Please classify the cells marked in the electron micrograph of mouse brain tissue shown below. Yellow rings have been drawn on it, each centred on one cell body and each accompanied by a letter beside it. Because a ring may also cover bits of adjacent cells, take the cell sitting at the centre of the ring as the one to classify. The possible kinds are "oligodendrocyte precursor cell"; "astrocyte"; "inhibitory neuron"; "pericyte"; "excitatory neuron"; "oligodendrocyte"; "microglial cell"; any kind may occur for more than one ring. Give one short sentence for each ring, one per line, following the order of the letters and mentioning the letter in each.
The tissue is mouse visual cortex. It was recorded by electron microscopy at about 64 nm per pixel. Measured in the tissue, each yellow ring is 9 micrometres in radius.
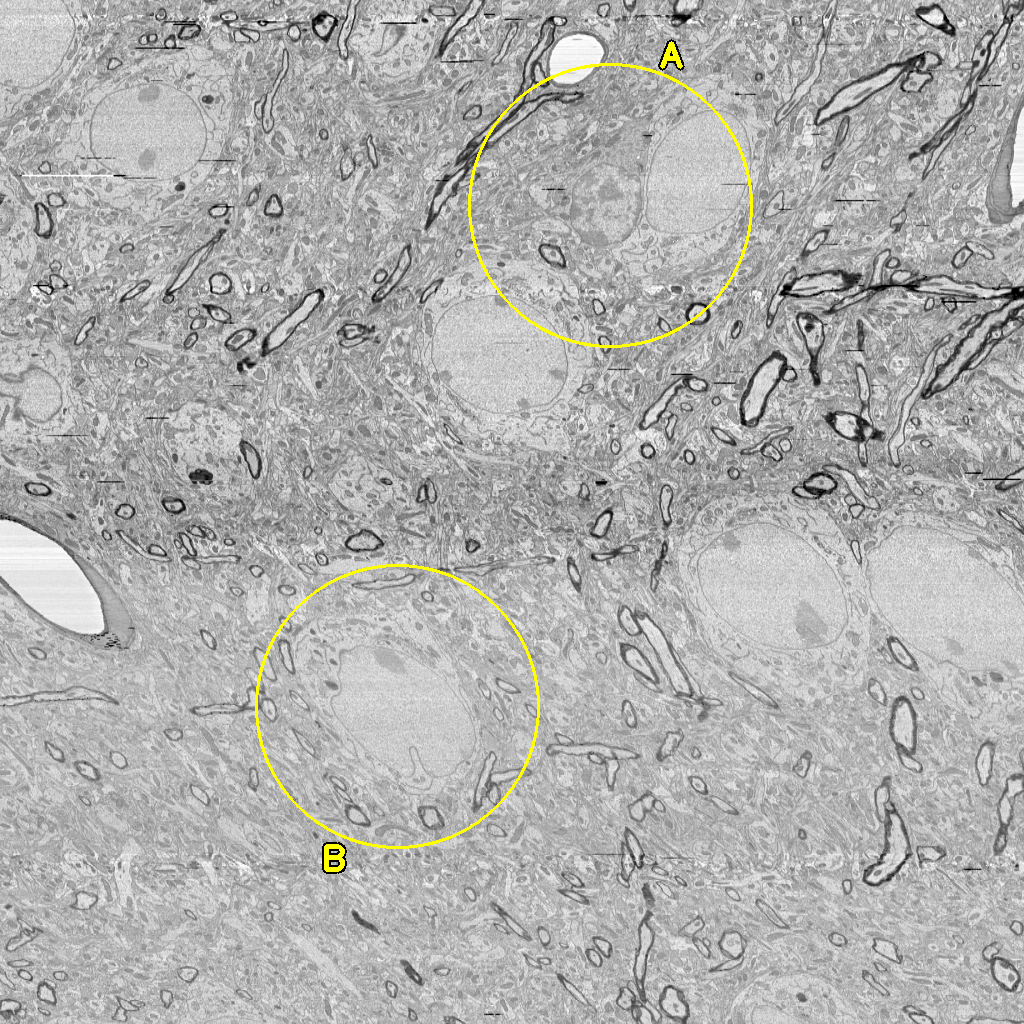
Ring A marks the cell body of an oligodendrocyte.
Ring B marks the cell body of an excitatory neuron.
